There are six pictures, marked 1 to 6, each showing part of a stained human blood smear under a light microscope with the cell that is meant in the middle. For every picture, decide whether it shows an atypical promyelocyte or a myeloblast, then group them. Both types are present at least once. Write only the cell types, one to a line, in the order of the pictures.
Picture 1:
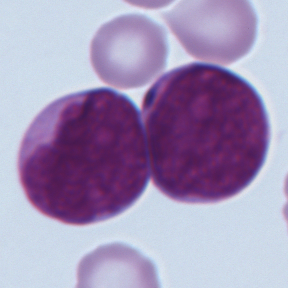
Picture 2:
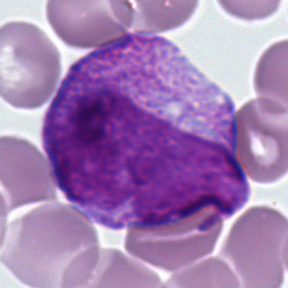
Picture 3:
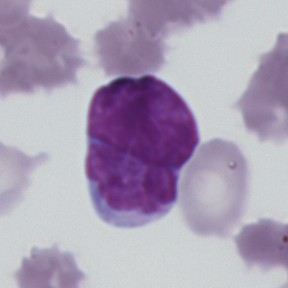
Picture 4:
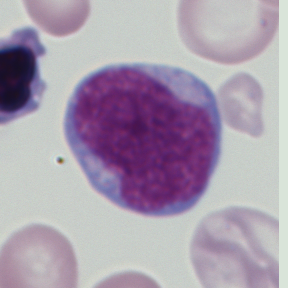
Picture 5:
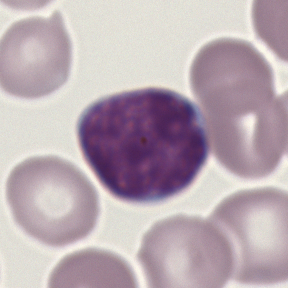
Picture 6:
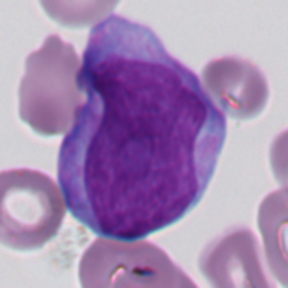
myeloblast
atypical promyelocyte
myeloblast
myeloblast
myeloblast
atypical promyelocyte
